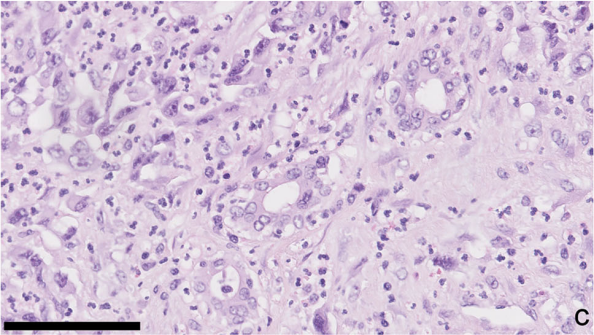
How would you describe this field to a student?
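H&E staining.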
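This is a carcinoma made of large atypical tumor cells forming small glands, mixed with many inflammatory cells. The tumor cells have abundant pale pink cytoplasm and large round to oval nuclei with open chromatin and conspicuous nucleoli. In several places the tumor cells are arranged around small clear round lumens, forming gland-like spaces. Between the tumor cells lie numerous small cells with dark, often lobed nuclei, typical of neutrophils and other inflammatory cells. The background stroma is loose and pale pink.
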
